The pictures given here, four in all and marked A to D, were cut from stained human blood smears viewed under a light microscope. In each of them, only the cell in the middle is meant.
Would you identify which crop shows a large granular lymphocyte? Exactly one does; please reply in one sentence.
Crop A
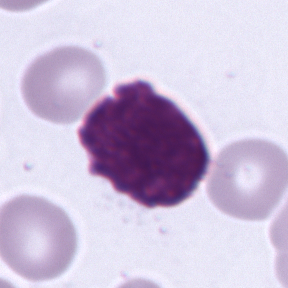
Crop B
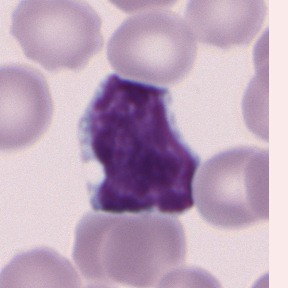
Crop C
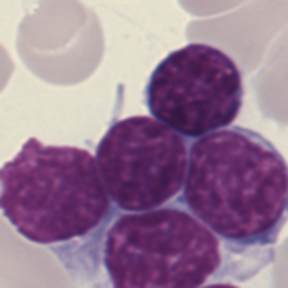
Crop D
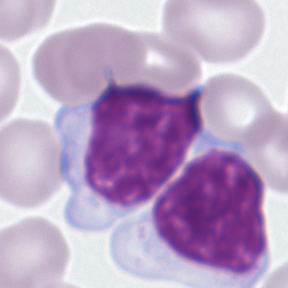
The cell at the center of crop D is the one that is a large granular lymphocyte.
